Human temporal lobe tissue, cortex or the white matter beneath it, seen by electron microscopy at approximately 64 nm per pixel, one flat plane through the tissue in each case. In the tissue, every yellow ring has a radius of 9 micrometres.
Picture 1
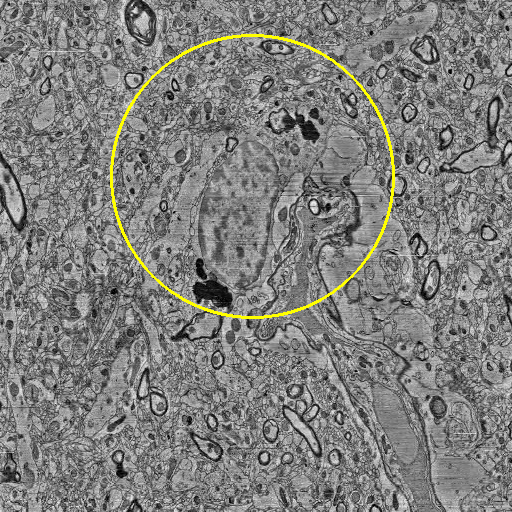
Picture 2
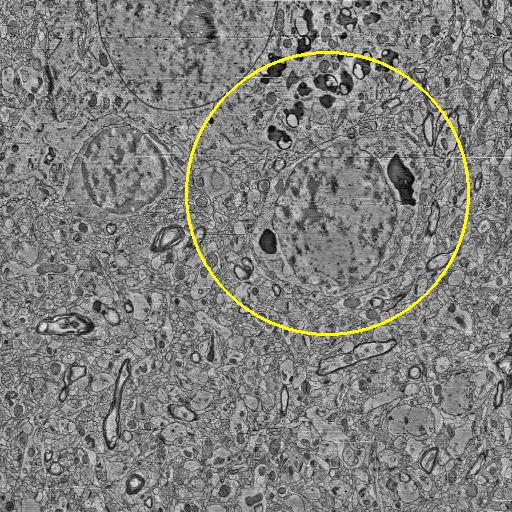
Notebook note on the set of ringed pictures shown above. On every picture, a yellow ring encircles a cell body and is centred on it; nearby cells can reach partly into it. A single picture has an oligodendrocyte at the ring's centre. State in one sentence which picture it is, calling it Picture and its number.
Picture 1 is the one whose ring is centred on the sought cell.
